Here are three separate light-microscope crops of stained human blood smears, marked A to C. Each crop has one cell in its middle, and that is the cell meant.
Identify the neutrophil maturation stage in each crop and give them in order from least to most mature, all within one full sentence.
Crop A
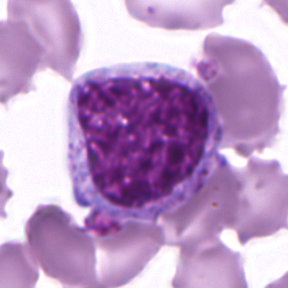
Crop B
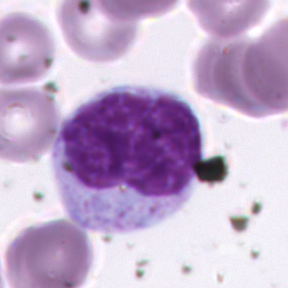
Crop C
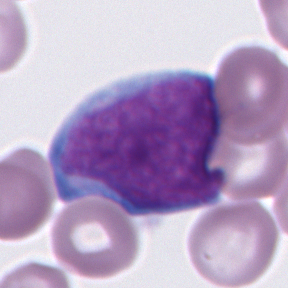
The maturation sequence, from earliest to latest, is crop C (a blast), crop A (a myelocyte) and crop B (a metamyelocyte).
